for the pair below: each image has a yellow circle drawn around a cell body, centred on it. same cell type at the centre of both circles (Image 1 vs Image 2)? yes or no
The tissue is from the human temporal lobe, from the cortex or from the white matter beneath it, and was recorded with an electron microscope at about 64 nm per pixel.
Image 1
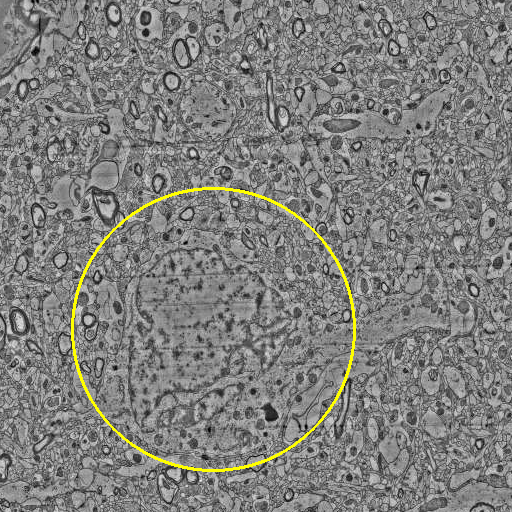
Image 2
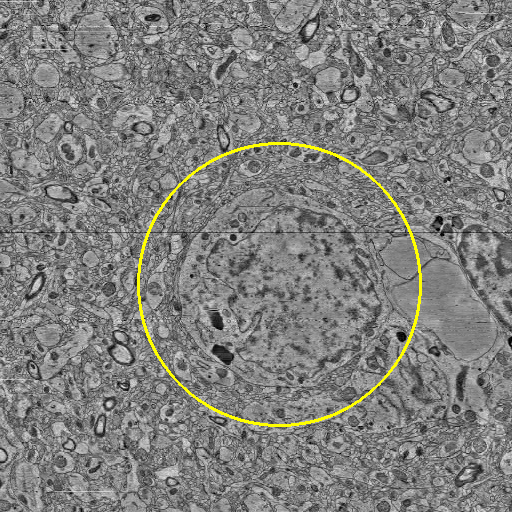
yes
